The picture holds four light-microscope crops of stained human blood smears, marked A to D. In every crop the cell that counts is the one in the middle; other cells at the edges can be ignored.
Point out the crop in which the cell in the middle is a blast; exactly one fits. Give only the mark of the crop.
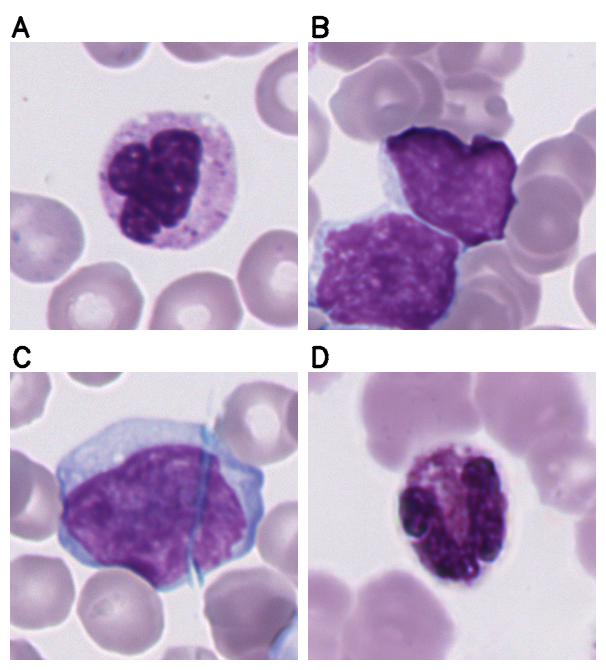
C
